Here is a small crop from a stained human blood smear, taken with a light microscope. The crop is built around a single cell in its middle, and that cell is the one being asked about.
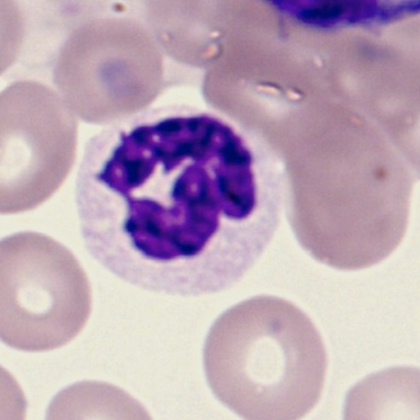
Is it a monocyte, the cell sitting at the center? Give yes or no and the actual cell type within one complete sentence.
No, the central cell is a neutrophil, not a monocyte.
